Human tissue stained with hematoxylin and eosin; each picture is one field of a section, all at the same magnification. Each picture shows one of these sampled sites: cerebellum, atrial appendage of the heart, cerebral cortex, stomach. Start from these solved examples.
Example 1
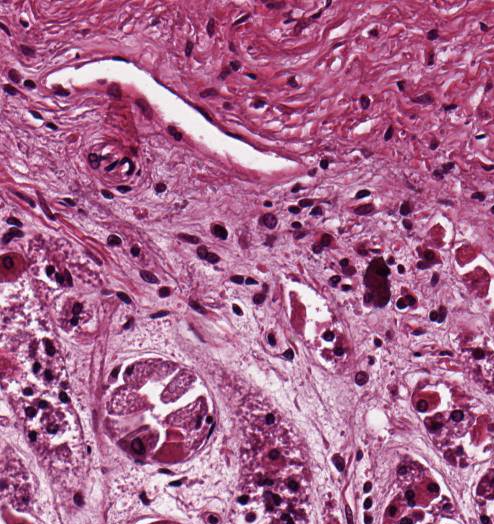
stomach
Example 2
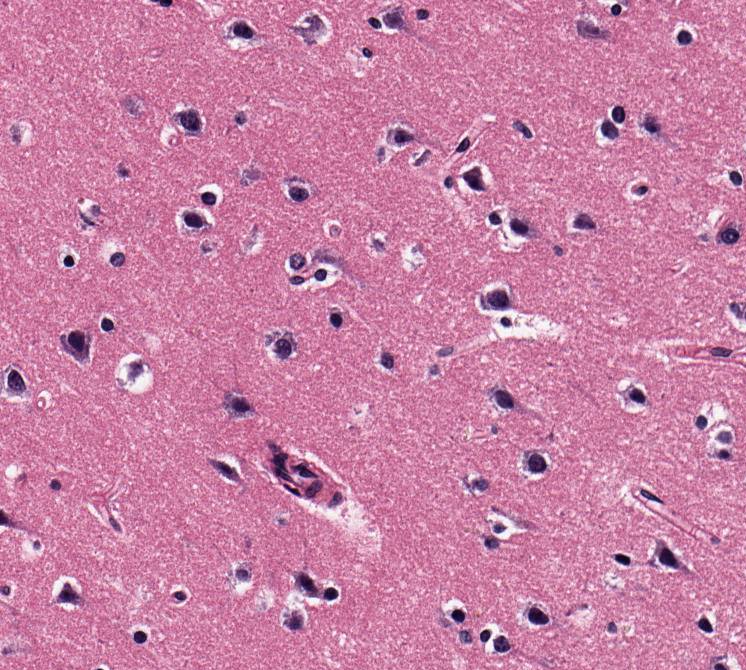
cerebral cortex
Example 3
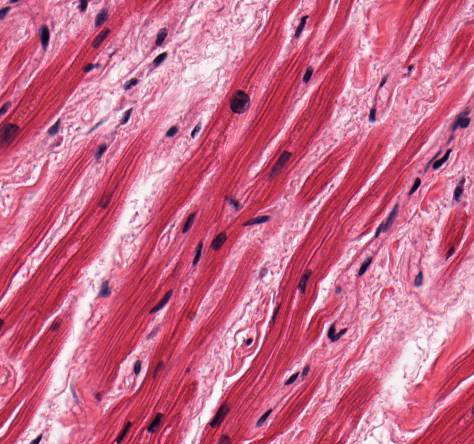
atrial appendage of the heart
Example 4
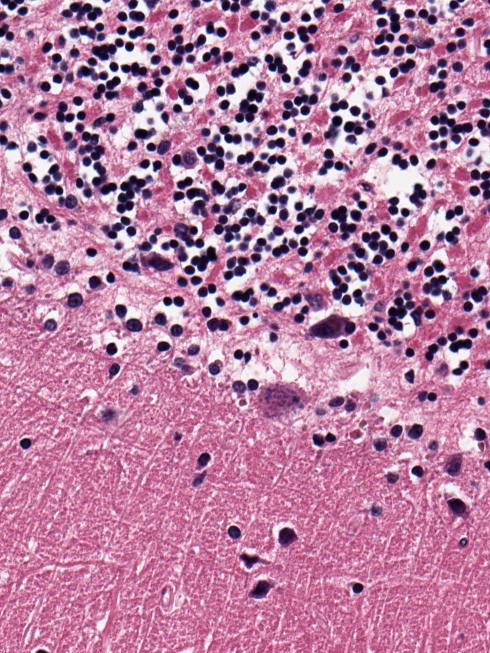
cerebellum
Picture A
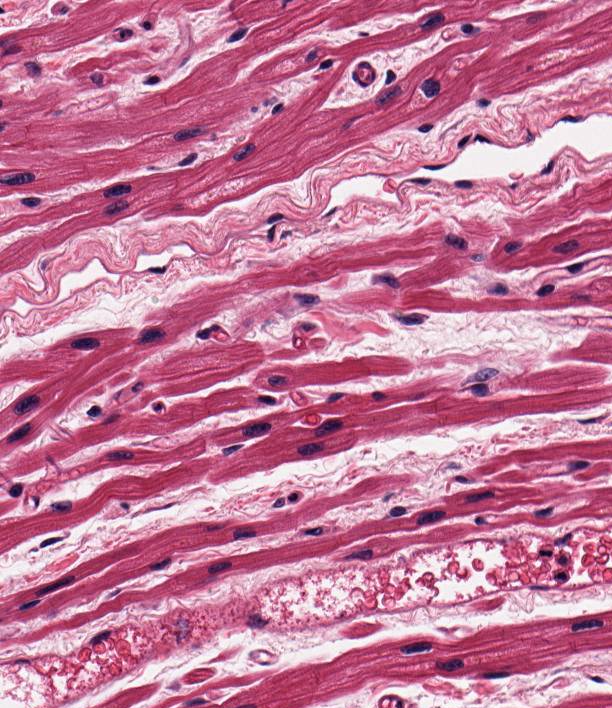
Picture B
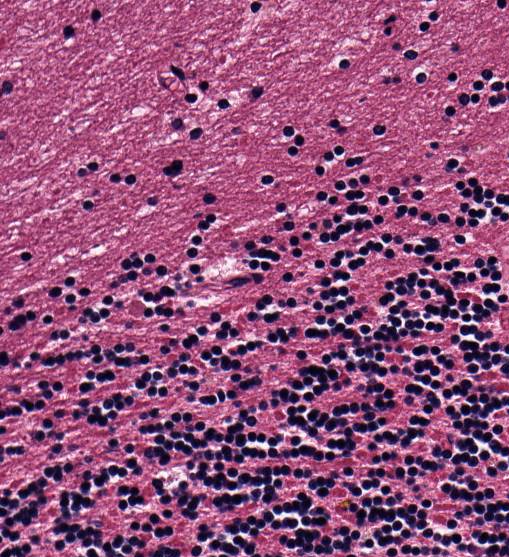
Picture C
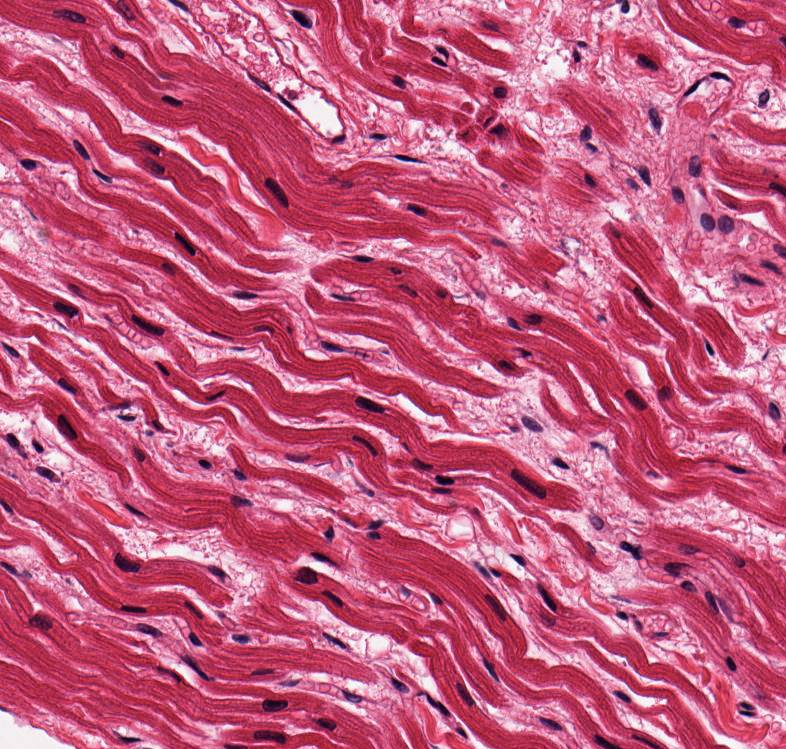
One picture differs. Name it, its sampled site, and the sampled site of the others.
Exception: B, showing cerebellum. Remaining pictures: atrial appendage of the heart.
